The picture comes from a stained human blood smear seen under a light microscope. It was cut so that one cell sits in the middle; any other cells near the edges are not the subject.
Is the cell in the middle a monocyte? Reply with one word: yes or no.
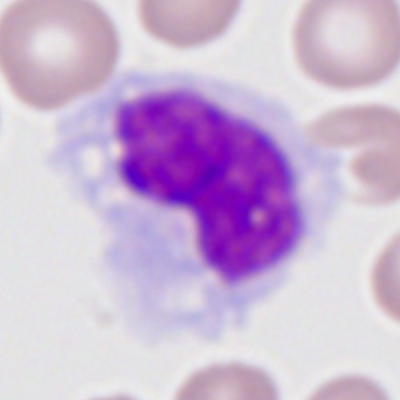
yes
